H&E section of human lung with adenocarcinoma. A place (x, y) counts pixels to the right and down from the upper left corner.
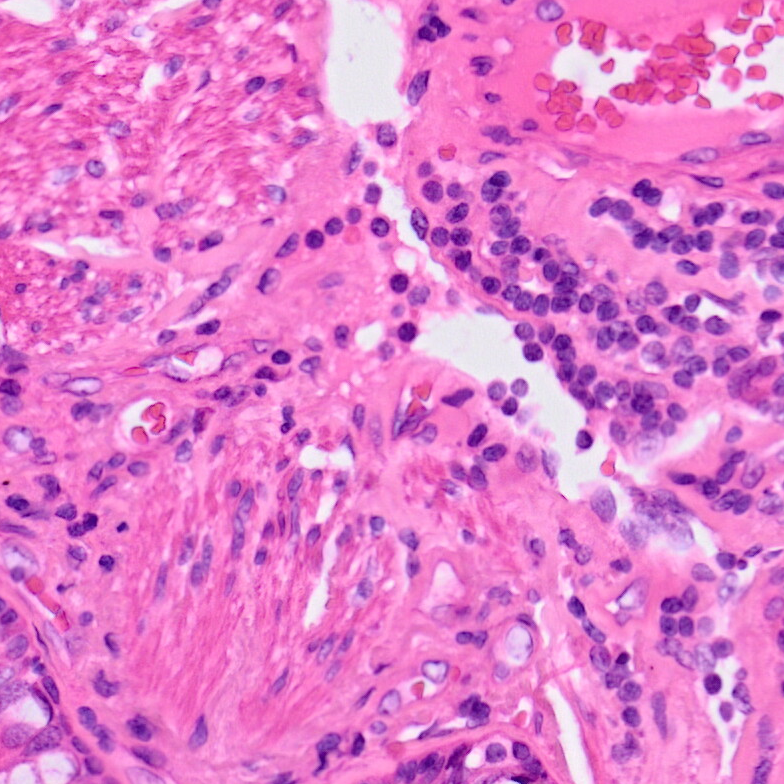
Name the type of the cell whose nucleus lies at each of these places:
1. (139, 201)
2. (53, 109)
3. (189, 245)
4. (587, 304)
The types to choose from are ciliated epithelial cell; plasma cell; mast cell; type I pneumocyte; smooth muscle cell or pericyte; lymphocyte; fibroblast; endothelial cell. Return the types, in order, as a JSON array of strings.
["smooth muscle cell or pericyte", "smooth muscle cell or pericyte", "smooth muscle cell or pericyte", "lymphocyte"]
